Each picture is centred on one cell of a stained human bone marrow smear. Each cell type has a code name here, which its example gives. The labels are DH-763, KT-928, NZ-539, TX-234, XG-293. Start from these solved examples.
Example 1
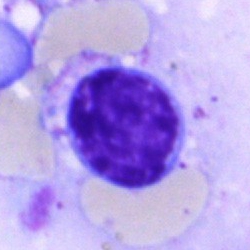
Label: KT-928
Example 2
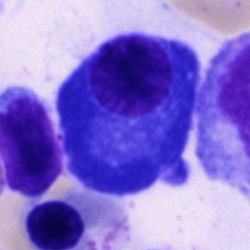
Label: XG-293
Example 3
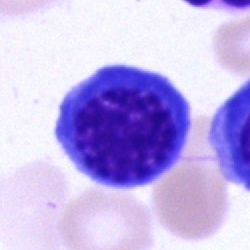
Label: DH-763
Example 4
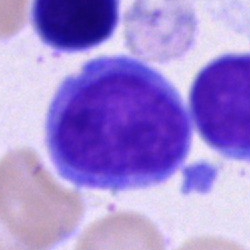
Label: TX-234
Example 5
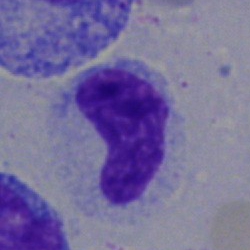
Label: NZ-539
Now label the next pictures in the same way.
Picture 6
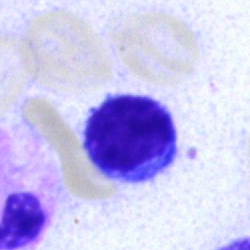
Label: KT-928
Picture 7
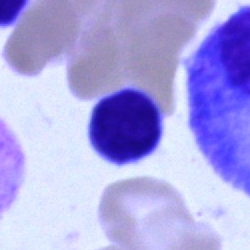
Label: KT-928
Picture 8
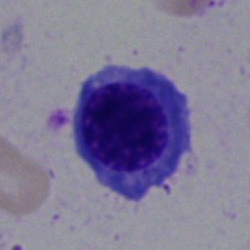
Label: DH-763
